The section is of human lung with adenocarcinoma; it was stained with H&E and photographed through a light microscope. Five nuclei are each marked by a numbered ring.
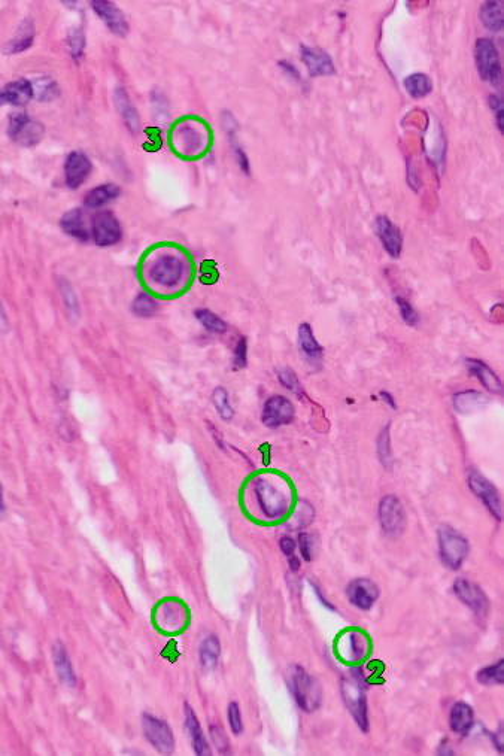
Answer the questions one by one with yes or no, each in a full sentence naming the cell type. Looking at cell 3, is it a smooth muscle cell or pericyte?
Yes, the cell that has number 3 is a smooth muscle cell or pericyte.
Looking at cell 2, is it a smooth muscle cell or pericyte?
No, cell 2 does not count as a smooth muscle cell or pericyte; it is an endothelial cell.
